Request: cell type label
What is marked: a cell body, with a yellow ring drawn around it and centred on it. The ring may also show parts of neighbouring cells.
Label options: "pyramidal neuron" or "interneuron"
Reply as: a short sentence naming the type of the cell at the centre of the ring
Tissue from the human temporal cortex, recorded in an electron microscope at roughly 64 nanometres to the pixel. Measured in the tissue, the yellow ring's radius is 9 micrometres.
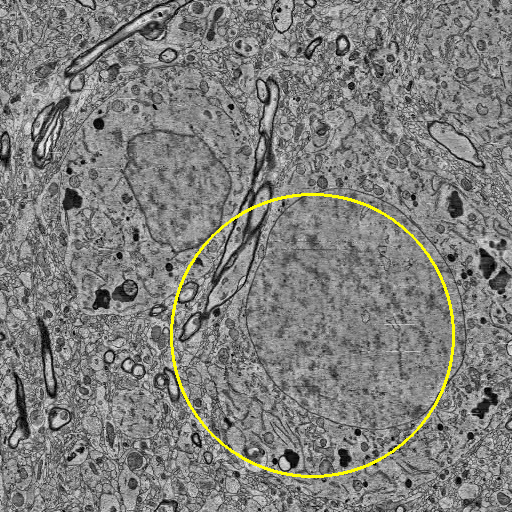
The marked cell body is that of a pyramidal neuron.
